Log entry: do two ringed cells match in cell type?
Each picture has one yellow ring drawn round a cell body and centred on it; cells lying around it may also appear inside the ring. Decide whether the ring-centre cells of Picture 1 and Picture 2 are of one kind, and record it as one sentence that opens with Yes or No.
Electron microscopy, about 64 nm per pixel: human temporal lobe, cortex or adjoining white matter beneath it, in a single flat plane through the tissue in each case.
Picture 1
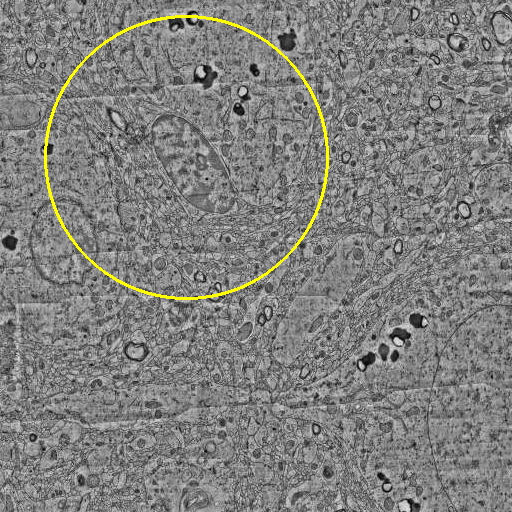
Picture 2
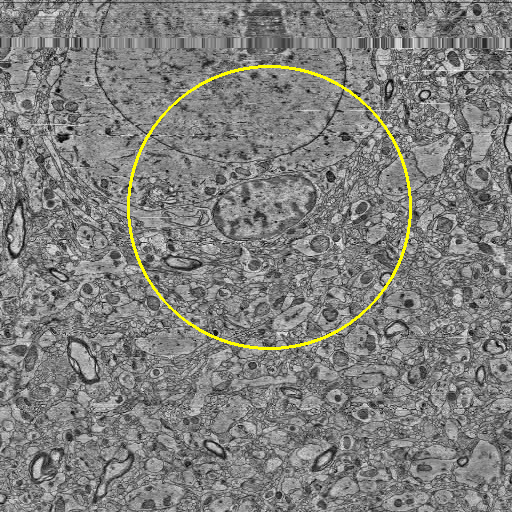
Yes, the cells at the ring centres of the two pictures belong to one kind.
